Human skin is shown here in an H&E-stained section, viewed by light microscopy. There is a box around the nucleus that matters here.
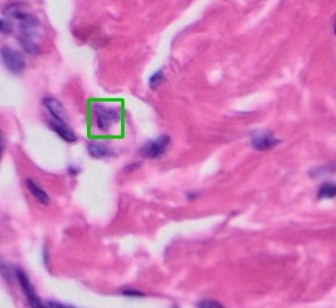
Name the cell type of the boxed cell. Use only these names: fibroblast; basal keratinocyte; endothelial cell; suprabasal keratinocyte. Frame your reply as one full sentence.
Assigned to a cell type, the boxed cell is an endothelial cell.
